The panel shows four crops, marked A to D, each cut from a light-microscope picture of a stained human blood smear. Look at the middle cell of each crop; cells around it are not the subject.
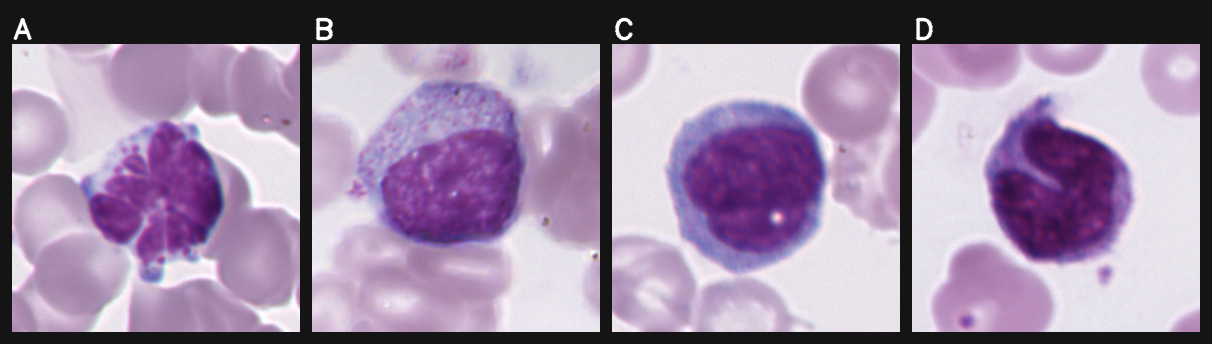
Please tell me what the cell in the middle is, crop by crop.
A: large granular lymphocyte
B: promyelocyte
C: myeloblast
D: monocyte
